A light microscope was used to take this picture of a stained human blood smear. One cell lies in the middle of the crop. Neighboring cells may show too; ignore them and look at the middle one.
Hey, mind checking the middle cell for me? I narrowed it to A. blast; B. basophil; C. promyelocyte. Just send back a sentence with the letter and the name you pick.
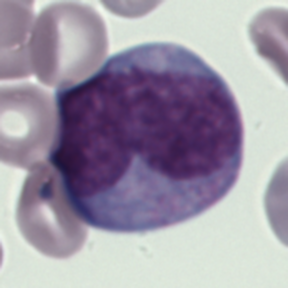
The cell occupying the centre is a promyelocyte; option C is thus the correct choice.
